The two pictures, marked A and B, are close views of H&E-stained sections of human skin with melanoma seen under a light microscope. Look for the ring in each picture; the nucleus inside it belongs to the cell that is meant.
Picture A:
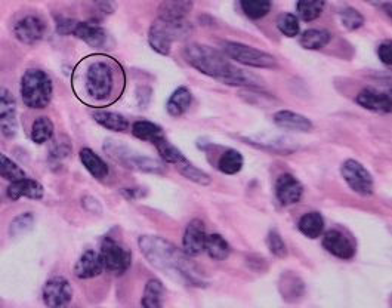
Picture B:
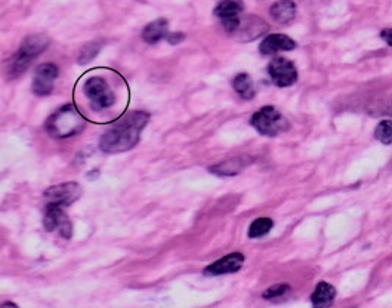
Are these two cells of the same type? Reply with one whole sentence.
No, the types are not the same, since picture A shows a plasma cell and picture B a lymphocyte.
